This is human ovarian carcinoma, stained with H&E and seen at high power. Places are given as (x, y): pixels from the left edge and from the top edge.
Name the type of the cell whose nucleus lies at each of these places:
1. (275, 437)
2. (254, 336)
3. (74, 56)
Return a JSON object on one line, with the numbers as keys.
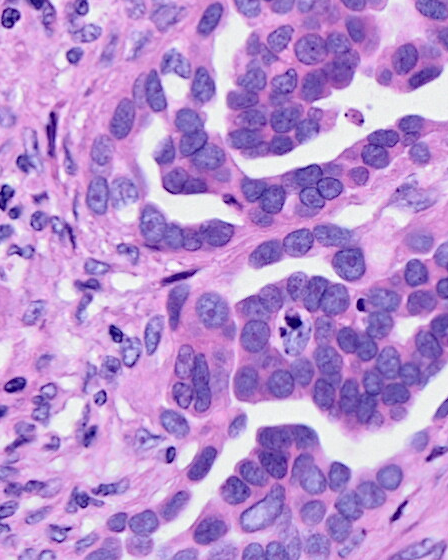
{"1": "carcinoma cell", "2": "carcinoma cell", "3": "lymphocyte"}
